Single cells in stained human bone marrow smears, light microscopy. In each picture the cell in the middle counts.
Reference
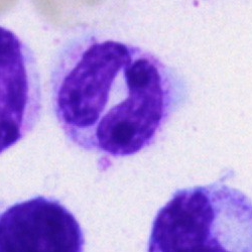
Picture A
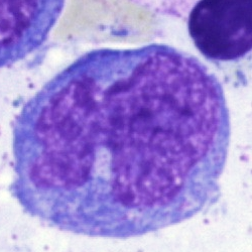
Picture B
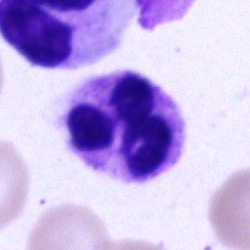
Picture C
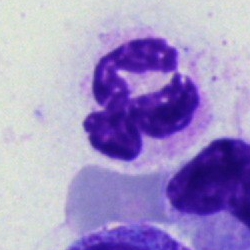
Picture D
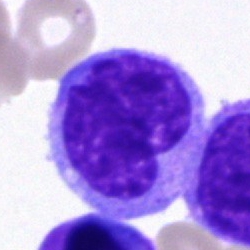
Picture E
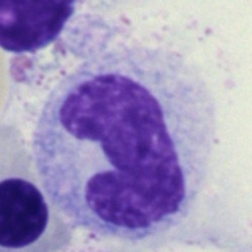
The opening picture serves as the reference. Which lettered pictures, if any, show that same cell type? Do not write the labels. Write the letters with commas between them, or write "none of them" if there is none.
B, C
